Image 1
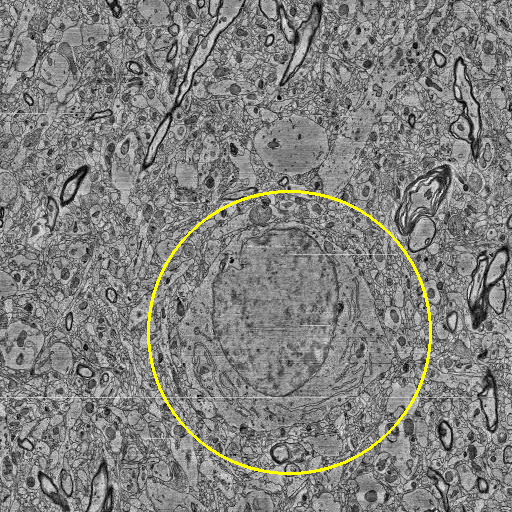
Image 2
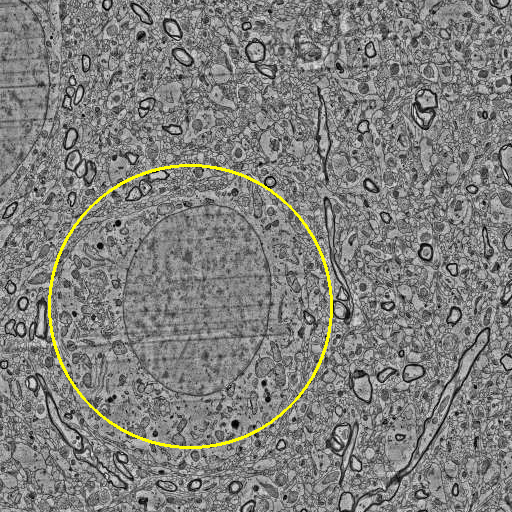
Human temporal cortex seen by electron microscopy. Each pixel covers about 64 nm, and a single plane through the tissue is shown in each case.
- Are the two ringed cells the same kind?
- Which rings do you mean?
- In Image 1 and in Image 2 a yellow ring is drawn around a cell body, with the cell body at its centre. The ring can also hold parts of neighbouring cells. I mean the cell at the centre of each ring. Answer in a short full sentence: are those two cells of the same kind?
Yes, both cells are of the same kind.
